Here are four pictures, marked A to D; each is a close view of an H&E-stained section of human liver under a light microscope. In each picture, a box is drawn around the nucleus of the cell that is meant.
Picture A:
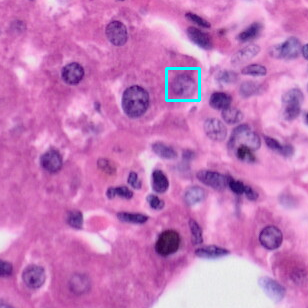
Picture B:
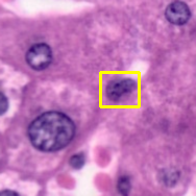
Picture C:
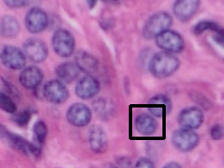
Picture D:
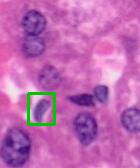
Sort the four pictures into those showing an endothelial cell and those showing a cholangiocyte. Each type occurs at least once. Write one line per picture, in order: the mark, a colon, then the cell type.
A: cholangiocyte
B: endothelial cell
C: cholangiocyte
D: endothelial cell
